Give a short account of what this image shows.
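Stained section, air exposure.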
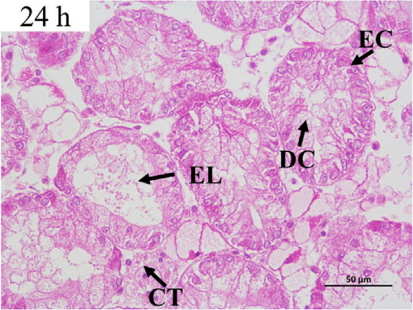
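Digestive tubules of the hepatopancreas are cut across, each lined by pink epithelial cells with pale, vacuolated cytoplasm and small dark nuclei. The epithelial lining around these wide lumens looks lower and thinner than in tubules with narrow lumens. Loose connective tissue with a few scattered cells fills the gaps between tubules. The widened lumen is an enlargement of the lumen, a change in the tubules.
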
